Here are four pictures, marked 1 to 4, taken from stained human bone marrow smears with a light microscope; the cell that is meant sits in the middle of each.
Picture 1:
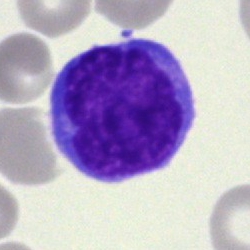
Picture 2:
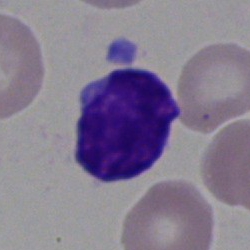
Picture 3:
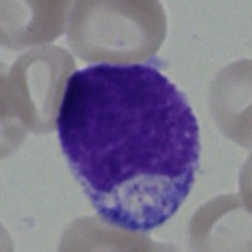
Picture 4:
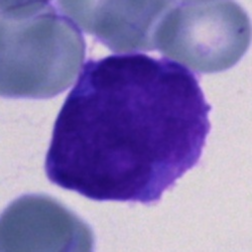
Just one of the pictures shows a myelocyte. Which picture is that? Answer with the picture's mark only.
3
